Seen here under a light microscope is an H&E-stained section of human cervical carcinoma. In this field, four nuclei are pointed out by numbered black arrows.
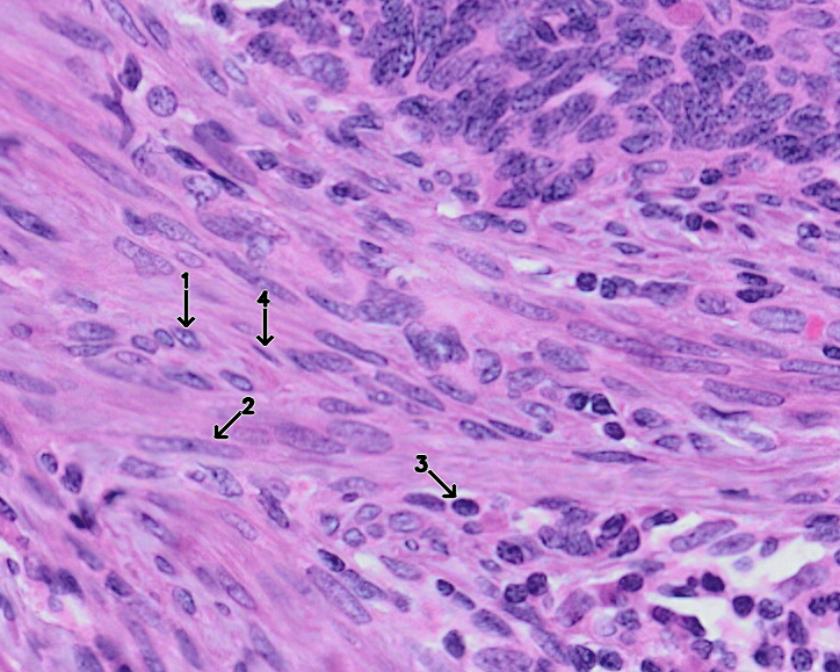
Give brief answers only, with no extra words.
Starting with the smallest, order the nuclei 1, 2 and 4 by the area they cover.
4, 1, 2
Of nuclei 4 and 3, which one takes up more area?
3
